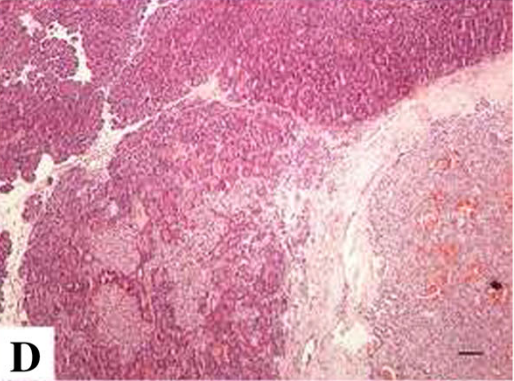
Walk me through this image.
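Pancreas in which a tumour of densely packed cells meets the surrounding gland across a pale fibrous band. Small foci of red blood cells are scattered within the tumour.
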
